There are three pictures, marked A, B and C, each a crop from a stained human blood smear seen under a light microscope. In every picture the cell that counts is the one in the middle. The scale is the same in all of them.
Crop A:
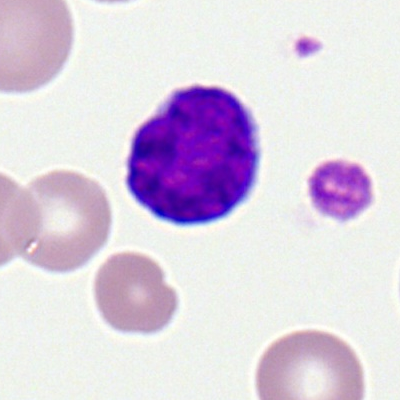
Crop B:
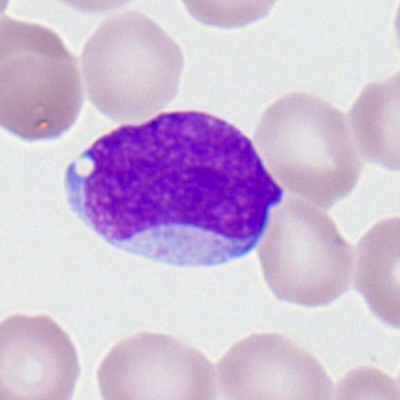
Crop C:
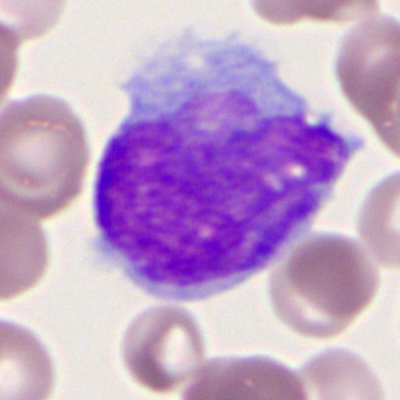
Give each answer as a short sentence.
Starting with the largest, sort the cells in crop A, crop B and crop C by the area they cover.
From the largest down, the order is C, B, A.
